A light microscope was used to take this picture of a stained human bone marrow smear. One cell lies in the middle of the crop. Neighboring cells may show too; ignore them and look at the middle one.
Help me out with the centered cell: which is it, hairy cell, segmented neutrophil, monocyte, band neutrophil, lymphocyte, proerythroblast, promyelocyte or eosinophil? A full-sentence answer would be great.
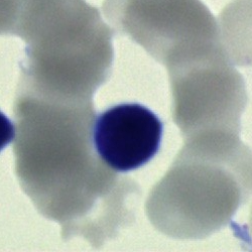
The crop's centre is taken up by a lymphocyte.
